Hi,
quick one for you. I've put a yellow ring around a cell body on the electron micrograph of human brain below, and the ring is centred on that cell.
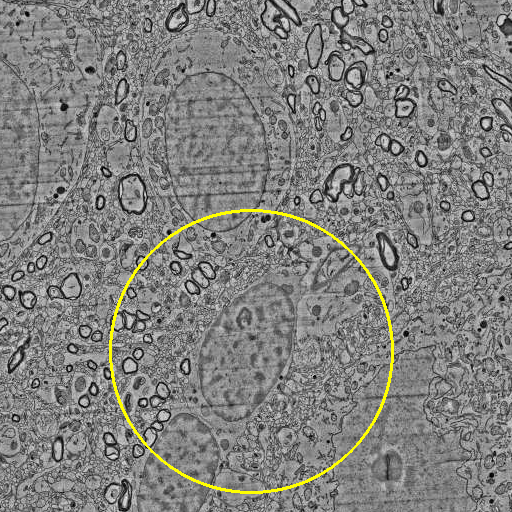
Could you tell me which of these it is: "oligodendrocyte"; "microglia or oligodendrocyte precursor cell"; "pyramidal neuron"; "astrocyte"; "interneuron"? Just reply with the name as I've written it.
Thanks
oligodendrocyte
